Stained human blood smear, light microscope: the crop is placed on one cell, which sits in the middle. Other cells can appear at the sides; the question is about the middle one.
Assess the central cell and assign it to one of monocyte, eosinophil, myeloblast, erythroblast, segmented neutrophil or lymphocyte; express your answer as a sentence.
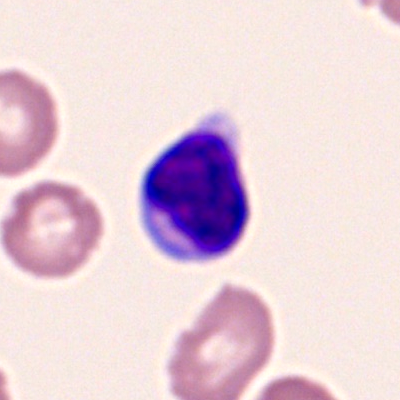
Classification of the middle cell gives a lymphocyte.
